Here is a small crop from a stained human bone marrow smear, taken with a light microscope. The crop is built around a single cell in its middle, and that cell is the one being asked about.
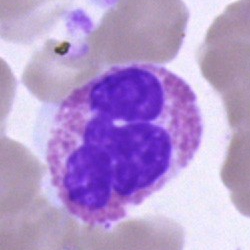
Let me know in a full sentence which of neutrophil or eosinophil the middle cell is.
In this crop, the cell at the very middle is an eosinophil.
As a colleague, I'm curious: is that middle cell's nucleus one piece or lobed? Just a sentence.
The nucleus here is split into two or more lobes, not one.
